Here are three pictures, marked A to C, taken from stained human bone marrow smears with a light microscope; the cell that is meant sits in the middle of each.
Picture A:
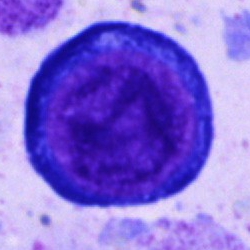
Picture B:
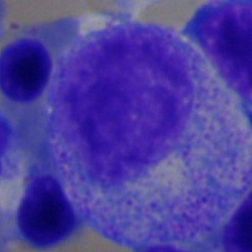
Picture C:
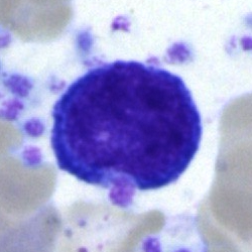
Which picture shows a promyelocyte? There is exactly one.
B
